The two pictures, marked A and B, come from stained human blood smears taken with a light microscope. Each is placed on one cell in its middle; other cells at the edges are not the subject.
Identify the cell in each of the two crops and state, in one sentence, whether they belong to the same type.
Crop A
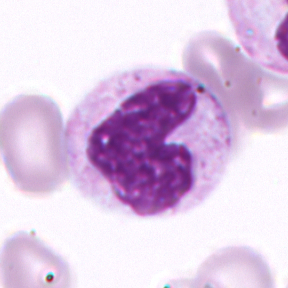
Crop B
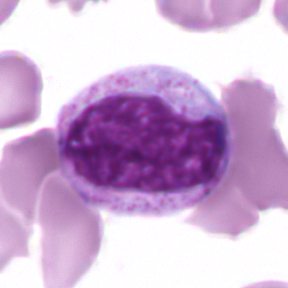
No, just to correct that: crop A shows a band neutrophil, crop B shows a metamyelocyte.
